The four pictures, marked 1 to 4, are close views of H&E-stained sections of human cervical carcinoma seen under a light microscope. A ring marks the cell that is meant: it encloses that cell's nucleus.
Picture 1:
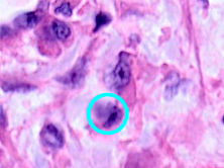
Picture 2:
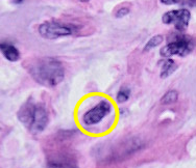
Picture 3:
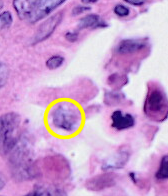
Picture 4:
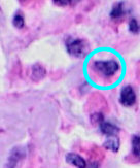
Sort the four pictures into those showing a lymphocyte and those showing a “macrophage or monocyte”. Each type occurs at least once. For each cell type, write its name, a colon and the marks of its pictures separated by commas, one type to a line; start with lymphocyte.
lymphocyte: 2, 4
macrophage or monocyte: 1, 3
